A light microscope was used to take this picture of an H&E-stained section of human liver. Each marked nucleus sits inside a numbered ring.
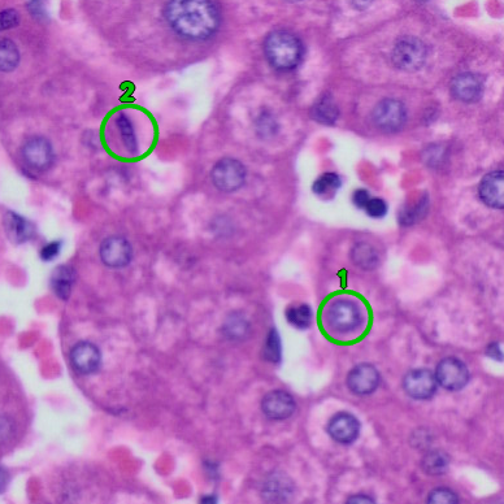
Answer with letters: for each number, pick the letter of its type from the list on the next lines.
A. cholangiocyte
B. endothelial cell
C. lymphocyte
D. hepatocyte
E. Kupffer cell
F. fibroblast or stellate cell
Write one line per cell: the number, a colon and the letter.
1: D
2: F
